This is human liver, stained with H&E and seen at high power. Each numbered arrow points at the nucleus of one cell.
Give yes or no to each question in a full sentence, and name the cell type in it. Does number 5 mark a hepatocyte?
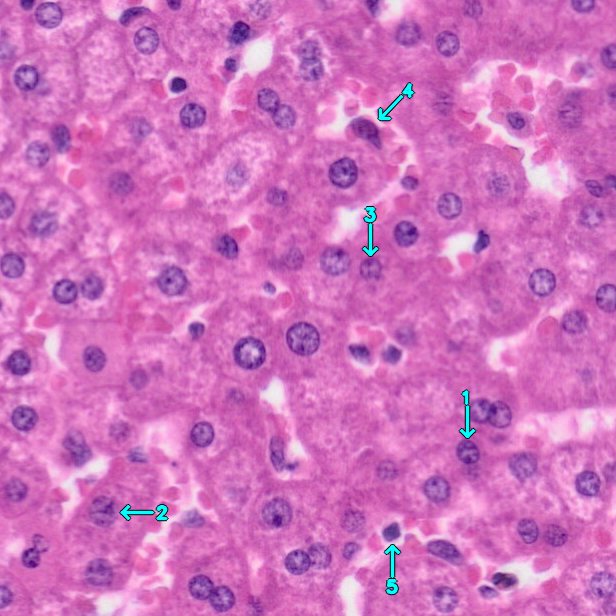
No, number 5 belongs to a lymphocyte, not to a hepatocyte.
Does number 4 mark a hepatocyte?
No, it is a Kupffer cell, not a hepatocyte, at number 4.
